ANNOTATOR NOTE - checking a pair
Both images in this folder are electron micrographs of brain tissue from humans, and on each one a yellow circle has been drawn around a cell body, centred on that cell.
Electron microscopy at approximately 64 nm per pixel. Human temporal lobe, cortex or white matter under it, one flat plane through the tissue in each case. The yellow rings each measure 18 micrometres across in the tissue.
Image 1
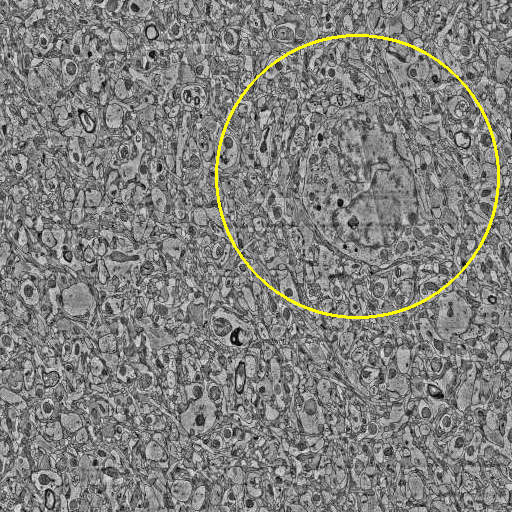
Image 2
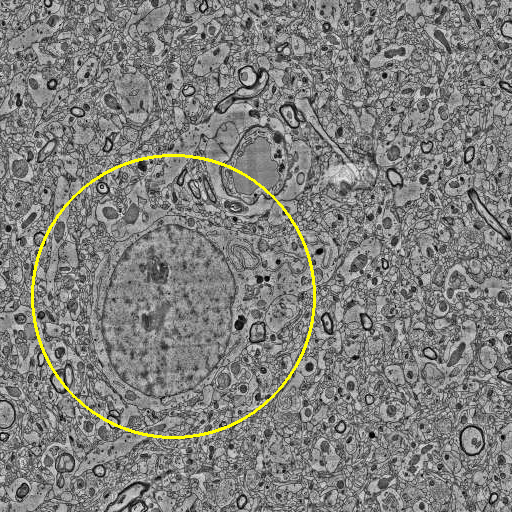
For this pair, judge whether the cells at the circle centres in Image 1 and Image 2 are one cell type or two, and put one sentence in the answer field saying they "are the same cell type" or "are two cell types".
For this pair, the cells at the circle centres in Images 1 and 2 are the same cell type.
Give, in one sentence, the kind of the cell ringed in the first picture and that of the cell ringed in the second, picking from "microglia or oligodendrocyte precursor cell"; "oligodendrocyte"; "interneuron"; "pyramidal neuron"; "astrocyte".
The first and the second cell are each an interneuron.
